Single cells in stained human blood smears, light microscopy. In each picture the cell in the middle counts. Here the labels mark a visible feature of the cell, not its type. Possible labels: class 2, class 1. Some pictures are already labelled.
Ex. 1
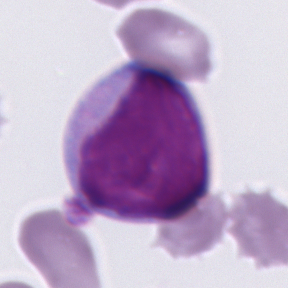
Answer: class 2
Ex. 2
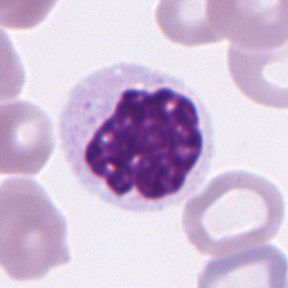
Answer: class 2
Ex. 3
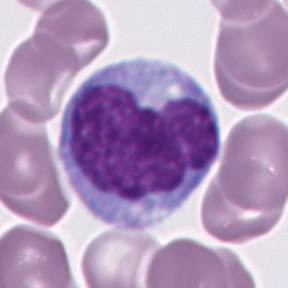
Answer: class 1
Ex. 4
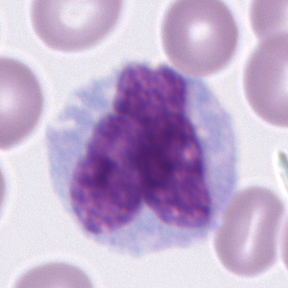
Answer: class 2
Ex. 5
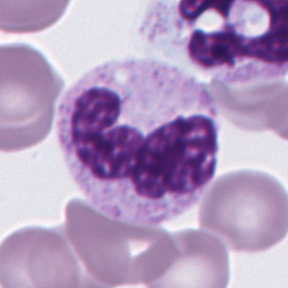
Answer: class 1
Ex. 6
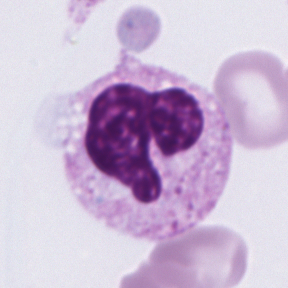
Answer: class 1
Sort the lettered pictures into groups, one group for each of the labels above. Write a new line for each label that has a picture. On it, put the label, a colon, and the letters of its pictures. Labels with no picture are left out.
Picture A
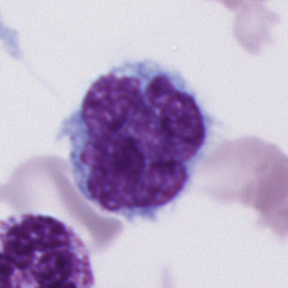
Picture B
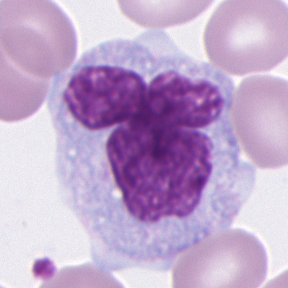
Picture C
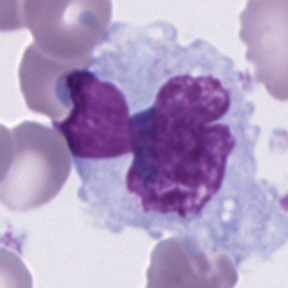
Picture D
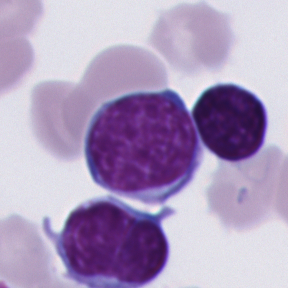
class 2: A, D
class 1: B, C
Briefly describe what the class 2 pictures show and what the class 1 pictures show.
Seen in class 2: no vacuoles; seen in class 1: vacuoles present.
